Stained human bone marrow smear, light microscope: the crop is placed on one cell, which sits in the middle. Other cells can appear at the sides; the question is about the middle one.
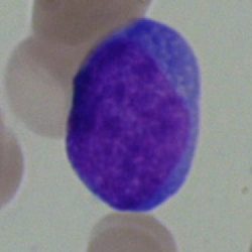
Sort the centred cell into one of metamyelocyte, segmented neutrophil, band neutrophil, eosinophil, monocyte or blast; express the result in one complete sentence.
The cell occupying the middle of the crop is a blast.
